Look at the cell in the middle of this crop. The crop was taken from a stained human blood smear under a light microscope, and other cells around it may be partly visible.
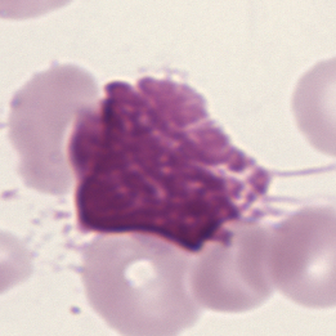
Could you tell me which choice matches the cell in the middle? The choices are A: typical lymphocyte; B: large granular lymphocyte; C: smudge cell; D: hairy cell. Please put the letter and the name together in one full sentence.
The right choice is option C: the cell in the middle is a smudge cell.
